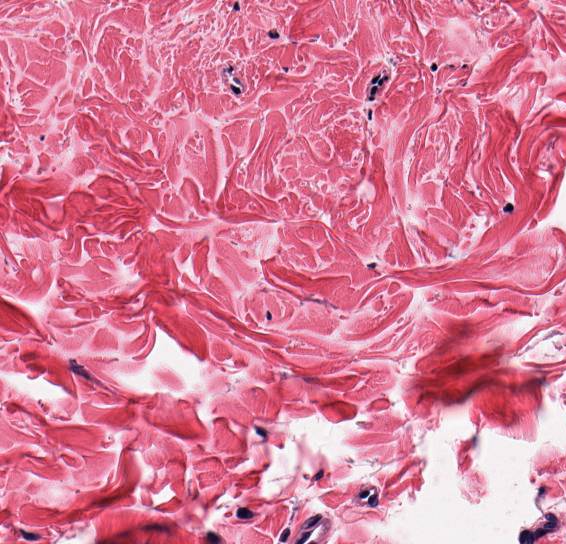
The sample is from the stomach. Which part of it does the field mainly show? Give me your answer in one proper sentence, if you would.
The part of tissue on this slide is termed dense connective tissue.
